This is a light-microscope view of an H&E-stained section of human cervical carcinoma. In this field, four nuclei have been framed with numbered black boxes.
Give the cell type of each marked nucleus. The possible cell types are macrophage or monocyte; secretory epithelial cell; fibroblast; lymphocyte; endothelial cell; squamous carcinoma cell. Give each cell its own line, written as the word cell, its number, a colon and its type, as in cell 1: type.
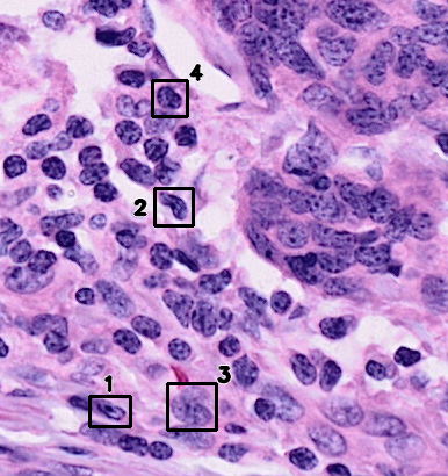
cell 1: lymphocyte
cell 2: lymphocyte
cell 3: endothelial cell
cell 4: lymphocyte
